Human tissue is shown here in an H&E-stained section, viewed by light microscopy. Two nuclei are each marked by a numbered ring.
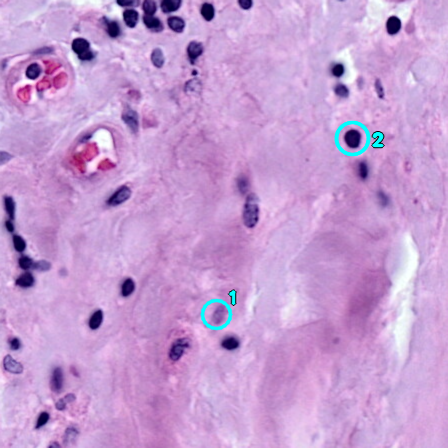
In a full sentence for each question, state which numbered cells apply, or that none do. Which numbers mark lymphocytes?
Nothing but cell 2 is a lymphocyte among the numbered ones.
